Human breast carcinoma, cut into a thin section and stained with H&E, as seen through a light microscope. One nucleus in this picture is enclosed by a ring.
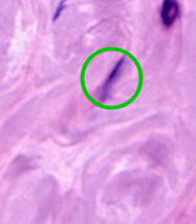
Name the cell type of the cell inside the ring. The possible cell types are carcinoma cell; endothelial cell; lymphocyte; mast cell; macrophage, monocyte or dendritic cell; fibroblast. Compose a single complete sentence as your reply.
Recorded by type, the cell inside the ring is a fibroblast.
